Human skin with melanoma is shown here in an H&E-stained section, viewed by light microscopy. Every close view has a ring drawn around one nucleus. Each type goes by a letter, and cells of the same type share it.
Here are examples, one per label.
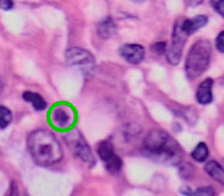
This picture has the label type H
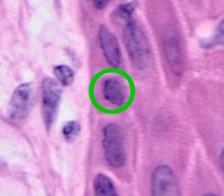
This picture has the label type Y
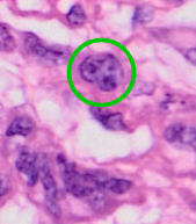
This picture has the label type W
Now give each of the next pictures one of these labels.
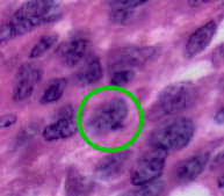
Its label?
type W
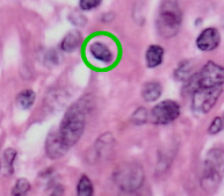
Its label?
type H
